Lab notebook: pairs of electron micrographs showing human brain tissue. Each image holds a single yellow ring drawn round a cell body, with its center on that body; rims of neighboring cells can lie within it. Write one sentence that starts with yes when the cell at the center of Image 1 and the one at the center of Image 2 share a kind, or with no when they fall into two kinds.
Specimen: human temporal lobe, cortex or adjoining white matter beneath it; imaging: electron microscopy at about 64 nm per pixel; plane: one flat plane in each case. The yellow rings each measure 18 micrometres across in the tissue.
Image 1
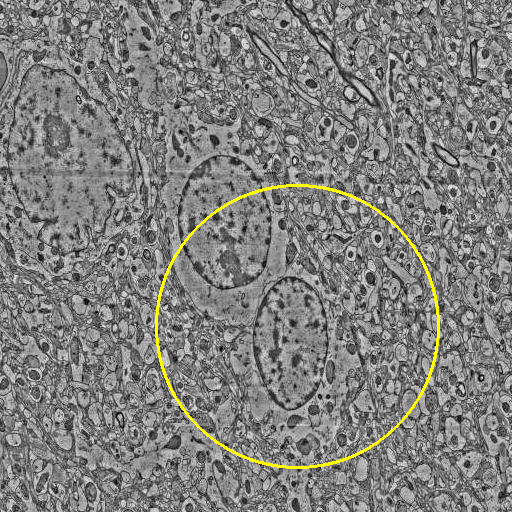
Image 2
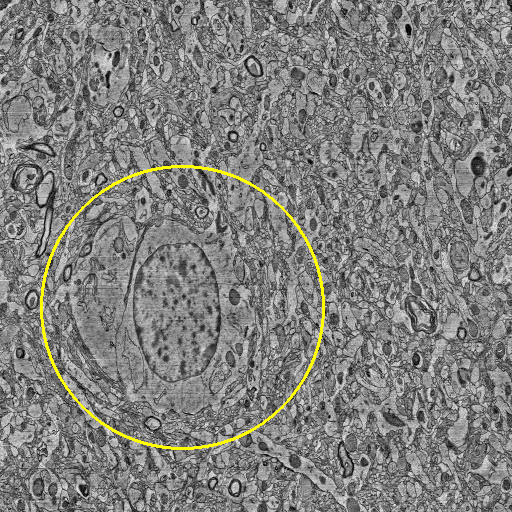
Yes, the centered cell in Image 1 and the centered cell in Image 2 are of one kind.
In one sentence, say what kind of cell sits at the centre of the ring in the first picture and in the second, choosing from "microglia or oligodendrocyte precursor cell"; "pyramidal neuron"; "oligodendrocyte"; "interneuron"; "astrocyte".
Both the first and the second picture show an astrocyte in the ring.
